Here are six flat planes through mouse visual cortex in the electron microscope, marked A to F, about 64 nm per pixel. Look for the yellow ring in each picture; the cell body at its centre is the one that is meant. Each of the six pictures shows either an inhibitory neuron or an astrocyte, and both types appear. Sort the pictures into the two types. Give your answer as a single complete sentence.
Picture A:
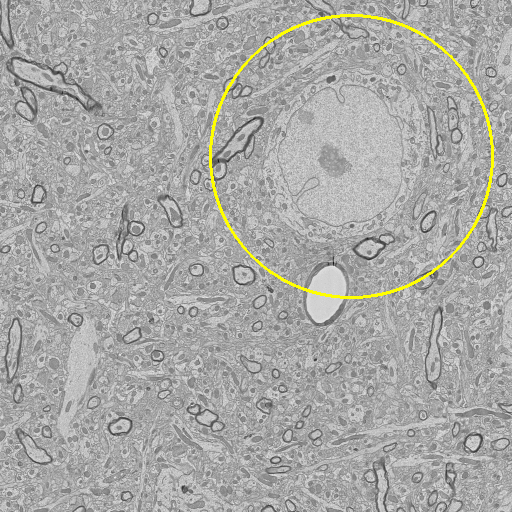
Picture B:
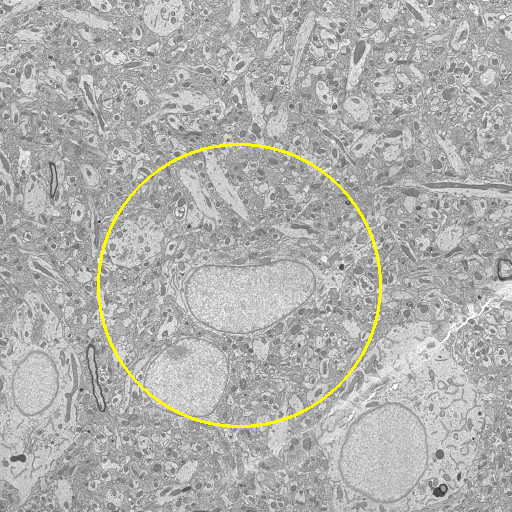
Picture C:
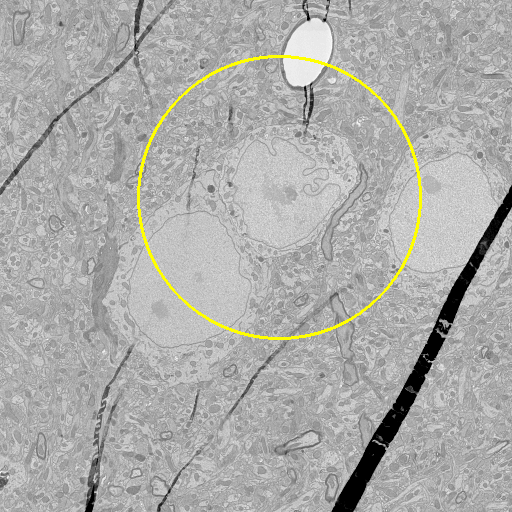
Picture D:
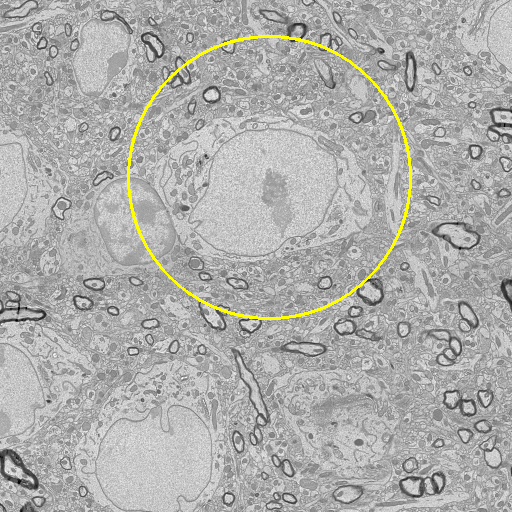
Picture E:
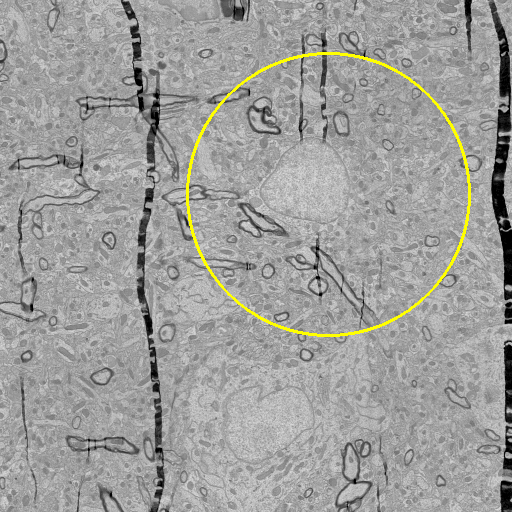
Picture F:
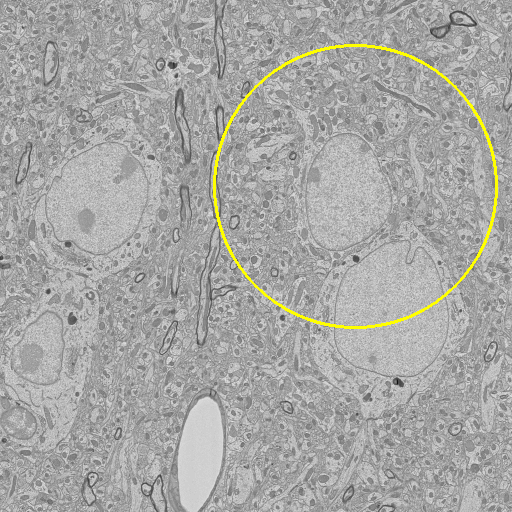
Pictures A, C and D show inhibitory neurons, while pictures B, E and F show astrocytes.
